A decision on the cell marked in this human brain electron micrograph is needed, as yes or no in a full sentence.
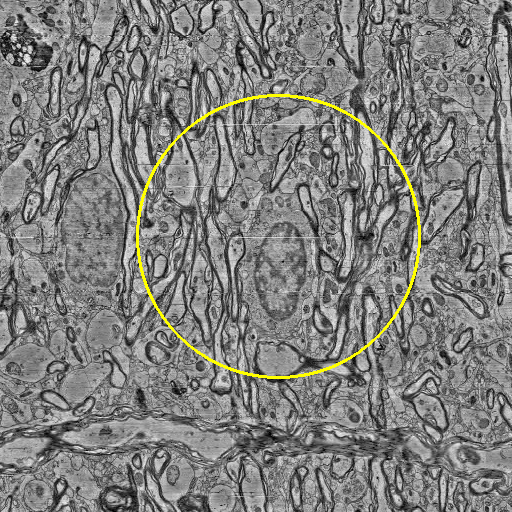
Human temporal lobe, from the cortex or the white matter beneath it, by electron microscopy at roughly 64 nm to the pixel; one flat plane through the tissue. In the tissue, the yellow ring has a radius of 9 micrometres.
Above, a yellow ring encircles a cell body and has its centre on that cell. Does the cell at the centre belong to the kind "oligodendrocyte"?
Yes, the kind given fits the cell at the centre of the ring in the picture.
